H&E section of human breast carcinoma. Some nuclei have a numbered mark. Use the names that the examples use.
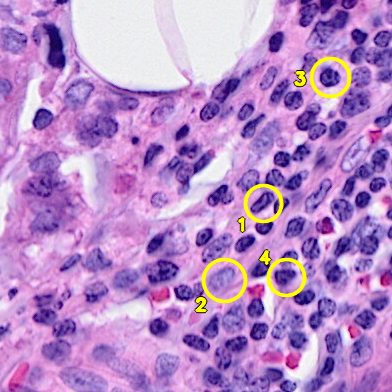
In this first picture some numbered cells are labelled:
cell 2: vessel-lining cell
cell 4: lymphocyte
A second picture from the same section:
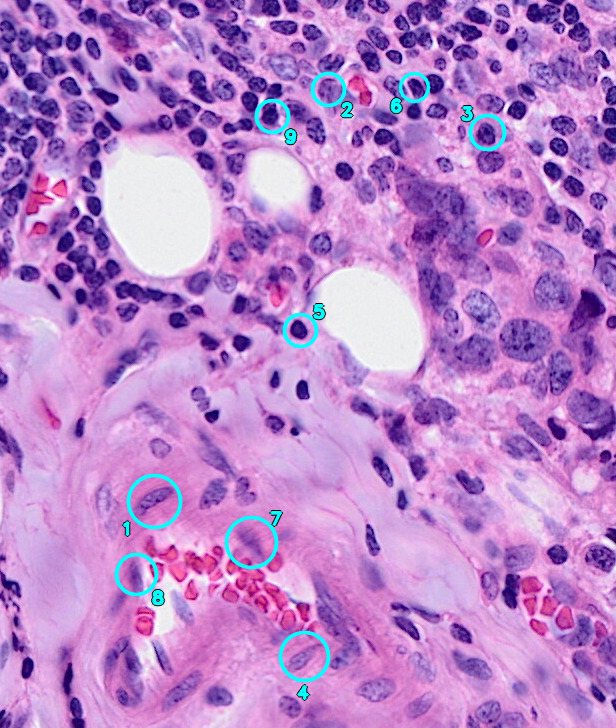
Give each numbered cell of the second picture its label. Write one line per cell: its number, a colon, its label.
1: vessel-lining cell
2: vessel-lining cell
3: lymphocyte
4: vessel-lining cell
5: lymphocyte
6: lymphocyte
7: vessel-lining cell
8: vessel-lining cell
9: lymphocyte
